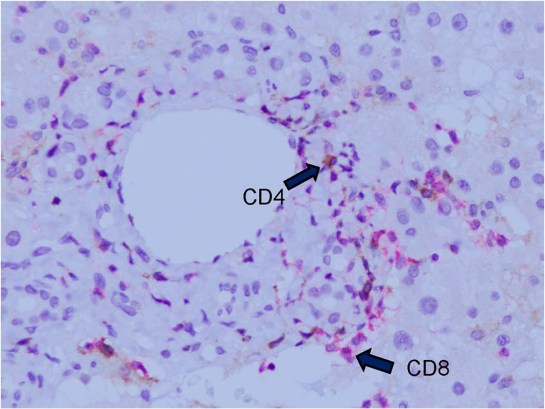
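Liver tissue around a vessel with a large round empty lumen shows an infiltrate of small lymphocytes with dark compact nuclei. Most of these lymphocytes are stained red, while only occasional cells are brown. Larger hepatocytes with round pale-blue nuclei and some clear vacuoles surround the infiltrate.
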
